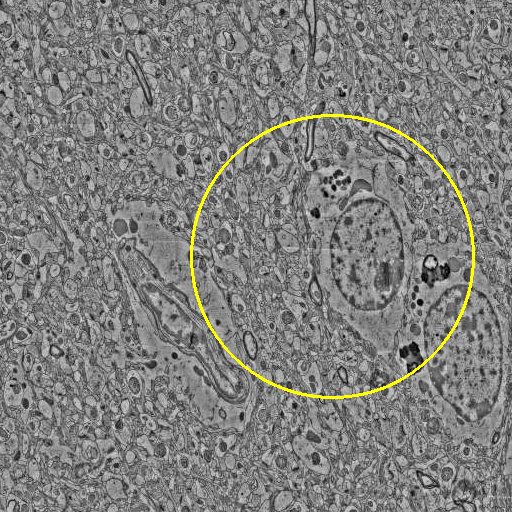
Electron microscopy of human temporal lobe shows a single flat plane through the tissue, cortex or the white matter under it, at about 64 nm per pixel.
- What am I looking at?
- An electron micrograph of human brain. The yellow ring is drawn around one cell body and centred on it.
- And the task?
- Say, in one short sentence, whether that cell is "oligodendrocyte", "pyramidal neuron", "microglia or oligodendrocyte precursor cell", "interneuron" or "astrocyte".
The cell in the middle of the ring is an astrocyte.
